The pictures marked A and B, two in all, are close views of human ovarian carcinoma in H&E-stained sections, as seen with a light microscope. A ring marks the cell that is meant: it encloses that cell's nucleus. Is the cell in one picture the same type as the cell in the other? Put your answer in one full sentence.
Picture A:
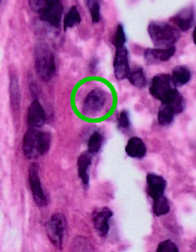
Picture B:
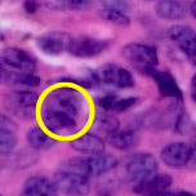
No. Picture A shows a “macrophage or monocyte”, but picture B shows a carcinoma cell.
